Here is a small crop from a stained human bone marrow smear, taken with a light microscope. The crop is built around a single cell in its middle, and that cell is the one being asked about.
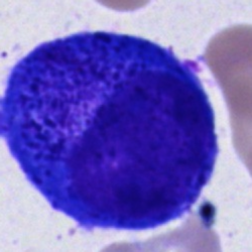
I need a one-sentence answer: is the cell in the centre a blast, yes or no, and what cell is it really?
No, the cell of interest here is a promyelocyte and not a blast.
